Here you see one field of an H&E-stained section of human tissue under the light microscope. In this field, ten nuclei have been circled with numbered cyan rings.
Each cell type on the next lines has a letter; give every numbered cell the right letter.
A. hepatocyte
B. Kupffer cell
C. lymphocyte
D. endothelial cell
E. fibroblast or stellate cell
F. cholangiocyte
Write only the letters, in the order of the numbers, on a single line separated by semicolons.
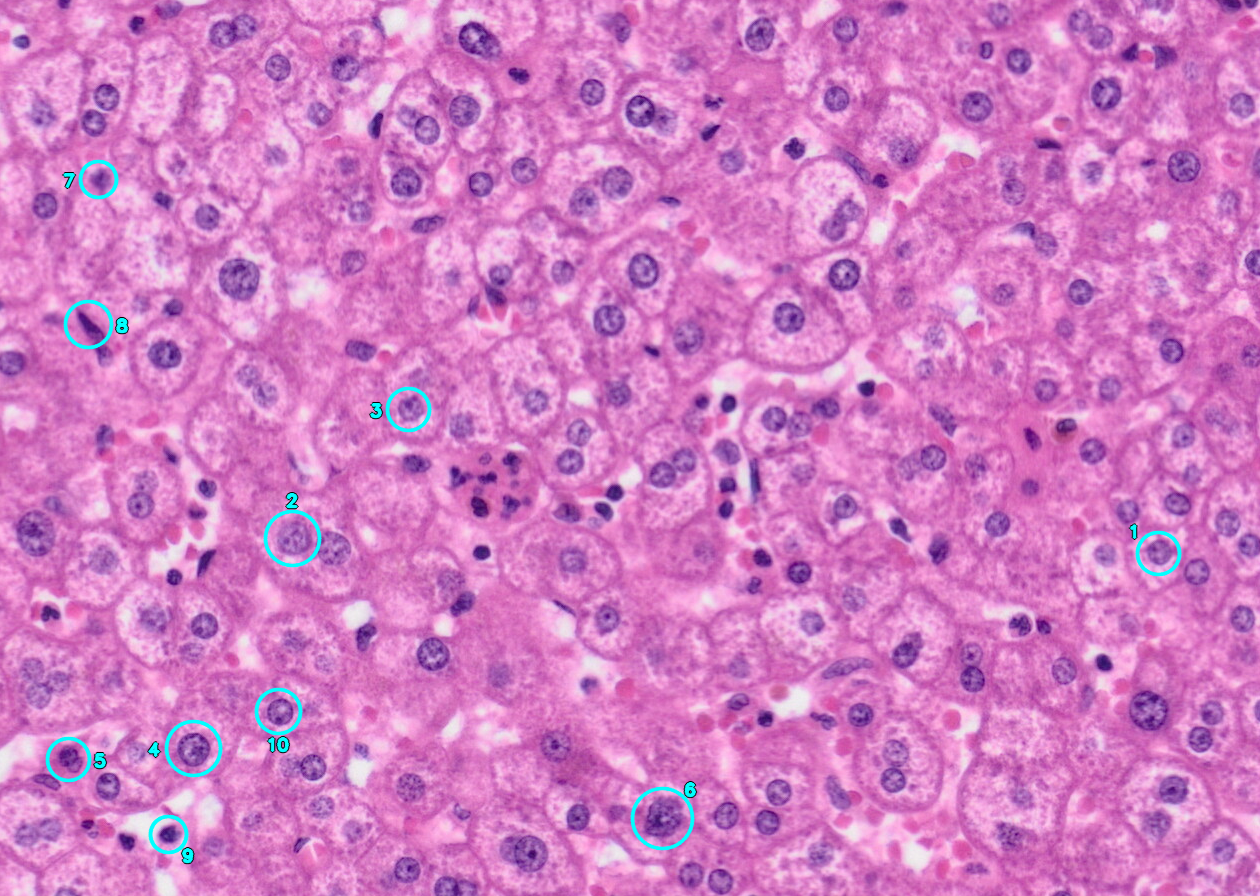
A; A; A; A; B; A; D; E; C; A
